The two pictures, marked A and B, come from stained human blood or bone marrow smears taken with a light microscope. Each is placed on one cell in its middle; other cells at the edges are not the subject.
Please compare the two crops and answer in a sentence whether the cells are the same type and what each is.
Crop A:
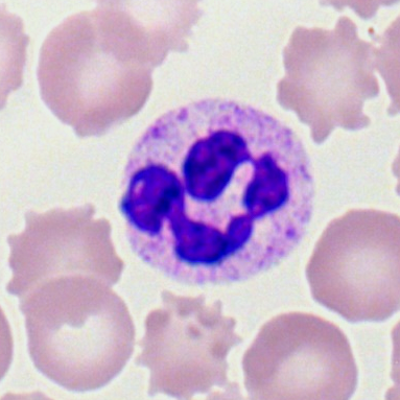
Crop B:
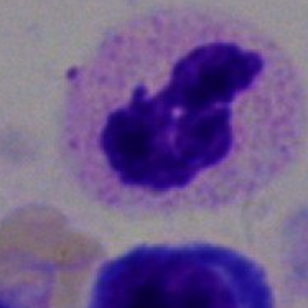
Yes, both crops here show segmented neutrophils, the pair of them.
